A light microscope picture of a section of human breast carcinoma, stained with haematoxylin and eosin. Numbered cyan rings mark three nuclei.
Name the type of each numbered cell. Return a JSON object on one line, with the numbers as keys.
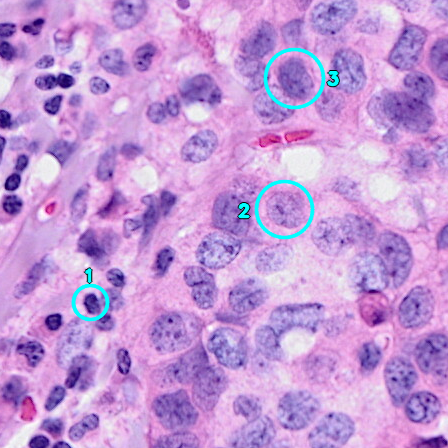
{"1": "lymphocyte", "2": "carcinoma cell", "3": "carcinoma cell"}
